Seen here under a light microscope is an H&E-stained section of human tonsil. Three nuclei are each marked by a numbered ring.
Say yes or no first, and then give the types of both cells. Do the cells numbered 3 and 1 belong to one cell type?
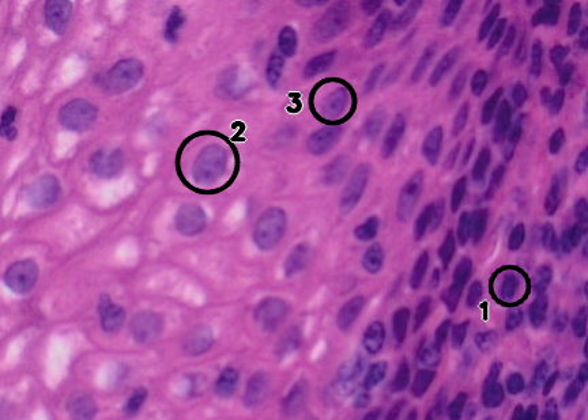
No, not so; cell 3 is a squamous epithelial cell and cell 1 is a plasma cell.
